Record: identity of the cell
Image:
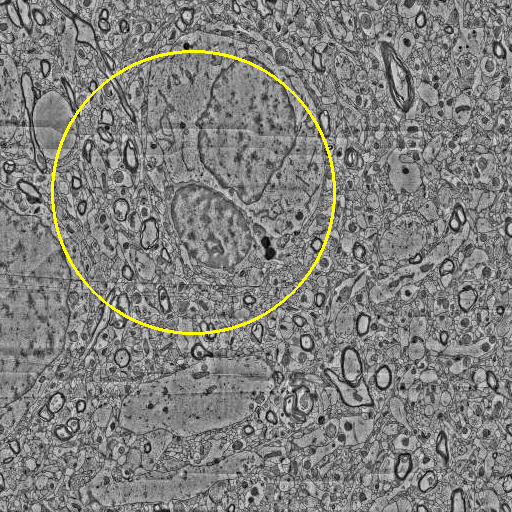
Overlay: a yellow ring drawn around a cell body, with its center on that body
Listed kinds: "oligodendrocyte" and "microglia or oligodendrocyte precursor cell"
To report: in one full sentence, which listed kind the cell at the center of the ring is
In the image, the cell body at the ring's center belongs to an oligodendrocyte.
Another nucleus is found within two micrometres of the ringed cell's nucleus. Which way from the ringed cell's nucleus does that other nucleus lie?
The other nucleus can be seen above it.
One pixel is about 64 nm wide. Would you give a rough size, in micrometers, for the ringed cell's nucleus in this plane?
In this plane the nucleus measures roughly 6 by 4 micrometers.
